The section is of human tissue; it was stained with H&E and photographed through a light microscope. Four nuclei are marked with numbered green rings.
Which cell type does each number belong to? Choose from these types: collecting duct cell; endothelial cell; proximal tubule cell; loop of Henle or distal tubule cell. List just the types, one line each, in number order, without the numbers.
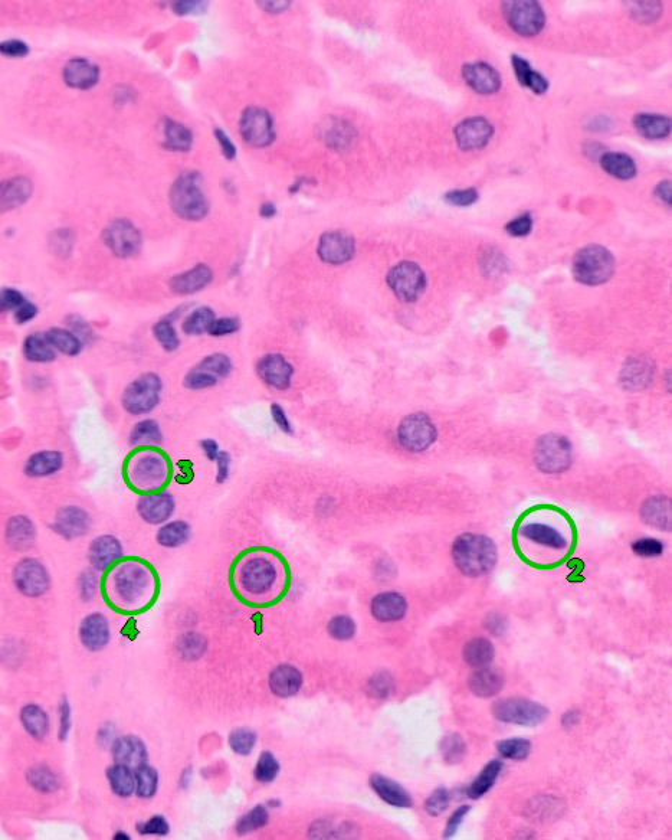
proximal tubule cell
endothelial cell
collecting duct cell
collecting duct cell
